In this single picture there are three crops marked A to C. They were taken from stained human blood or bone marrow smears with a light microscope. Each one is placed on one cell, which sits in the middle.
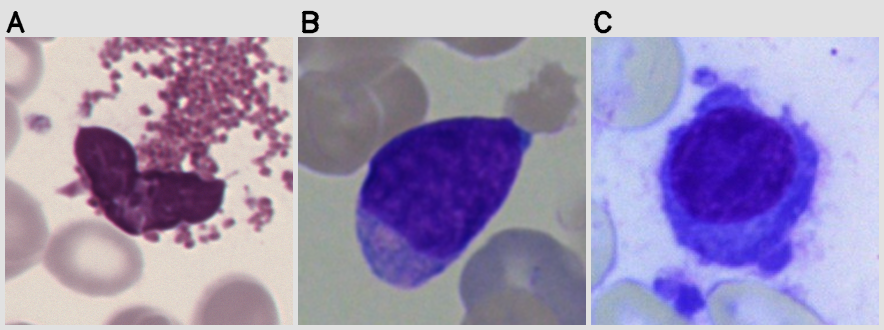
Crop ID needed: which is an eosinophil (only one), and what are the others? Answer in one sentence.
Crop A corresponds to an eosinophil, whereas crop B is a blast and crop C is a plasma cell.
